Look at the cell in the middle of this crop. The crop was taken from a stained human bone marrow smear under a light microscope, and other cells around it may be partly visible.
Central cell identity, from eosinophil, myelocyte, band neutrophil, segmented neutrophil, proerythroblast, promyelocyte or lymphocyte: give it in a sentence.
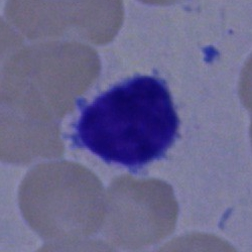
To answer, the cell in the center of the crop is a lymphocyte.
